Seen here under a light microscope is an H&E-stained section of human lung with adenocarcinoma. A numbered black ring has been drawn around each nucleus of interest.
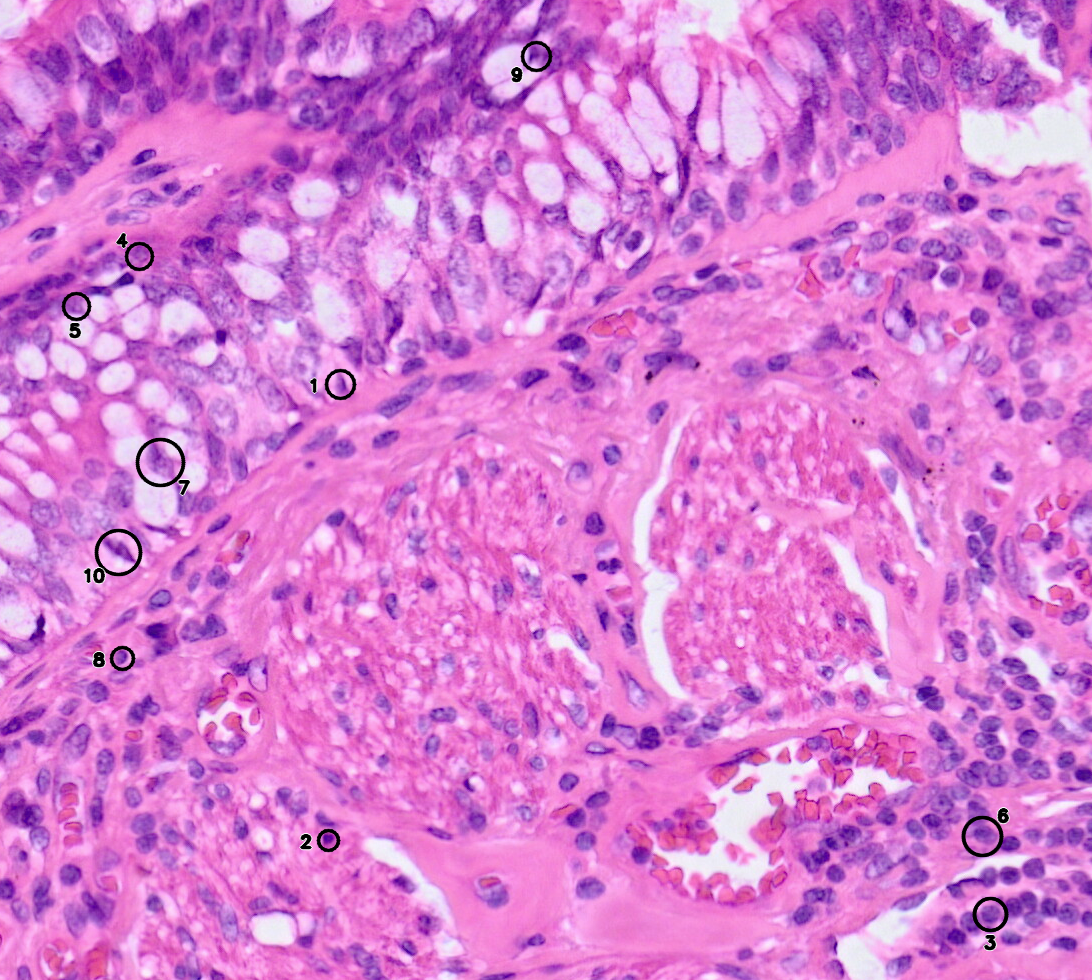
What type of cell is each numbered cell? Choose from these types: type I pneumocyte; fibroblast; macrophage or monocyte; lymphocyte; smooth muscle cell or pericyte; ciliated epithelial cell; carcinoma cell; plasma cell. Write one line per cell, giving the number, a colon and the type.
1: ciliated epithelial cell
2: smooth muscle cell or pericyte
3: lymphocyte
4: ciliated epithelial cell
5: ciliated epithelial cell
6: lymphocyte
7: ciliated epithelial cell
8: lymphocyte
9: ciliated epithelial cell
10: ciliated epithelial cell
